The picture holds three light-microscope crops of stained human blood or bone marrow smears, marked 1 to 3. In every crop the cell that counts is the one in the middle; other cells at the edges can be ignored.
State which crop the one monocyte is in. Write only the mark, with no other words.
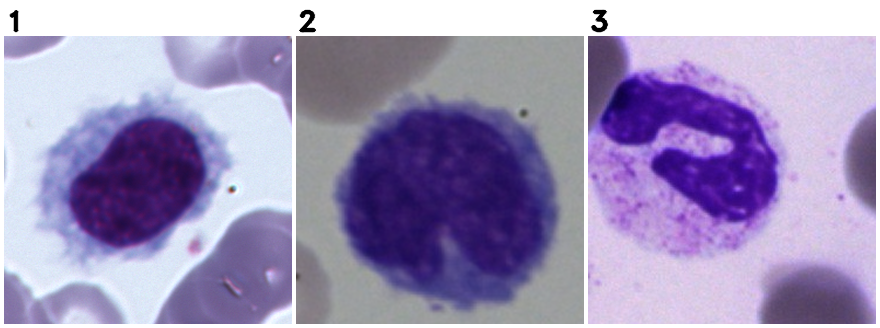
2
